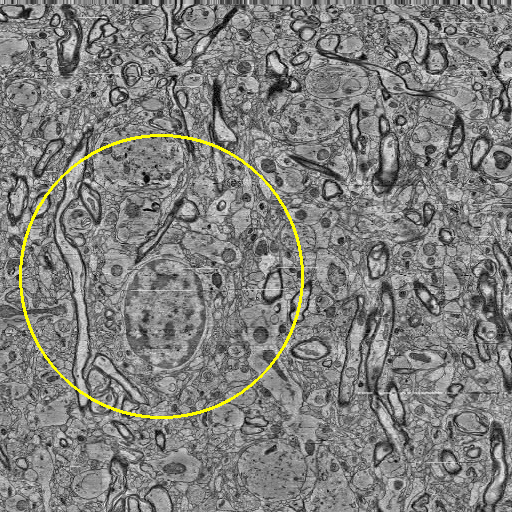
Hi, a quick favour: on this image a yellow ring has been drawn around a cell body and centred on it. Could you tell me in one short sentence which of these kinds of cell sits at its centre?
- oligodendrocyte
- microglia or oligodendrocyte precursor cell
The ring is centred on a microglial cell or oligodendrocyte precursor cell.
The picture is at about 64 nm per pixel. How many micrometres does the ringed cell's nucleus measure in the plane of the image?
In this plane the nucleus spans approximately 7 by 5 micrometers.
